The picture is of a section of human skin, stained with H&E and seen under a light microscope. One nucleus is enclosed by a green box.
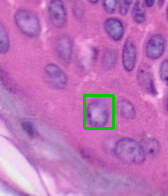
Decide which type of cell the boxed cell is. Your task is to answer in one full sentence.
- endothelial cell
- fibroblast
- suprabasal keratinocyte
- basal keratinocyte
By cell type, the boxed cell is a suprabasal keratinocyte.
